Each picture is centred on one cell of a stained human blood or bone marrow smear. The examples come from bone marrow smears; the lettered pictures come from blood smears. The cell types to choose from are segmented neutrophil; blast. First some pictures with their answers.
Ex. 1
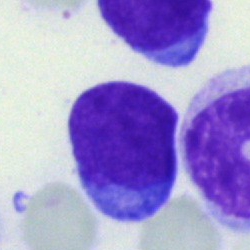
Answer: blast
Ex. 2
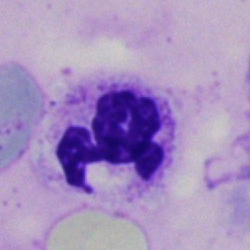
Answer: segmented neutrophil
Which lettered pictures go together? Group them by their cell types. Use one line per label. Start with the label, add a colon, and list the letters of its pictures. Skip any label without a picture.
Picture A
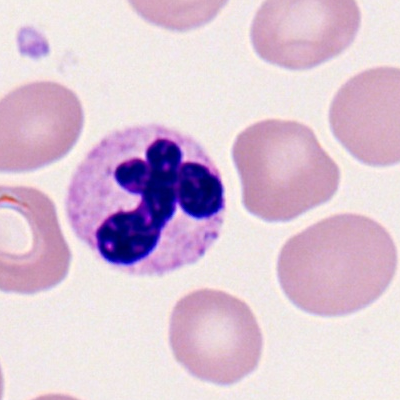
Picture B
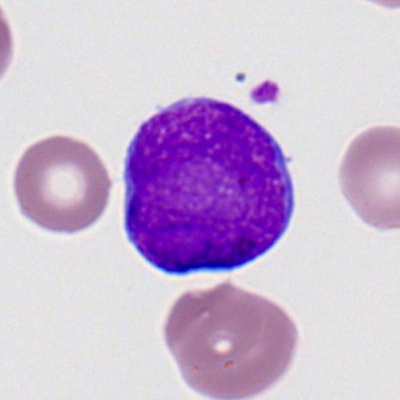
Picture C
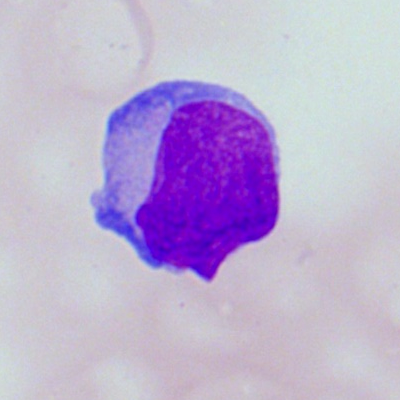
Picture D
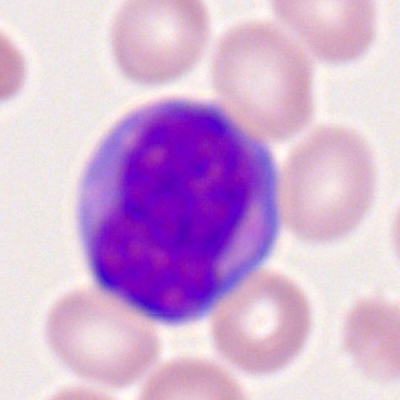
segmented neutrophil: A
blast: B, C, D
